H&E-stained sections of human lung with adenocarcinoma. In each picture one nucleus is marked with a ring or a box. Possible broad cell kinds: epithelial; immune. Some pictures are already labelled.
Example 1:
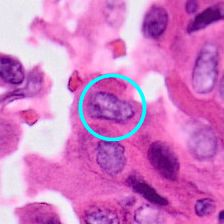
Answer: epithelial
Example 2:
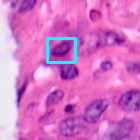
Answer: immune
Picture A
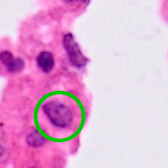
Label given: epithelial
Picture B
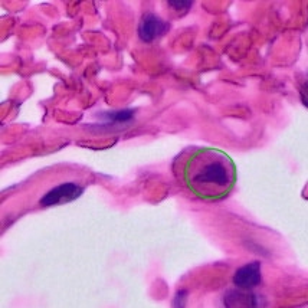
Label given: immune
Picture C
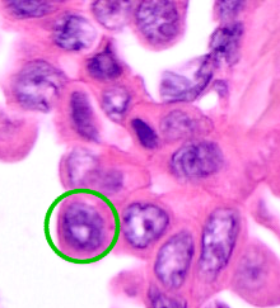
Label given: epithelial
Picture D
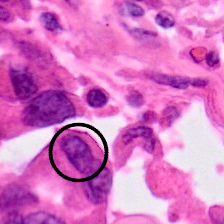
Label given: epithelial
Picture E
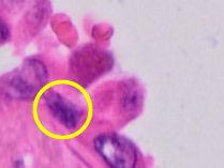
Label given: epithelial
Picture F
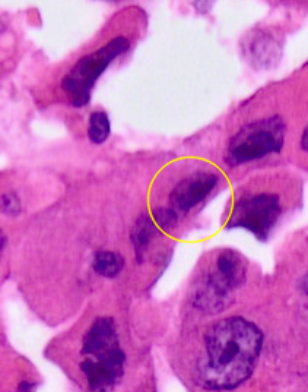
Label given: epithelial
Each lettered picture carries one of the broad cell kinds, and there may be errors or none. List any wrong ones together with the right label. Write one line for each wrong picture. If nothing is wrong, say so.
A: not epithelial but immune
